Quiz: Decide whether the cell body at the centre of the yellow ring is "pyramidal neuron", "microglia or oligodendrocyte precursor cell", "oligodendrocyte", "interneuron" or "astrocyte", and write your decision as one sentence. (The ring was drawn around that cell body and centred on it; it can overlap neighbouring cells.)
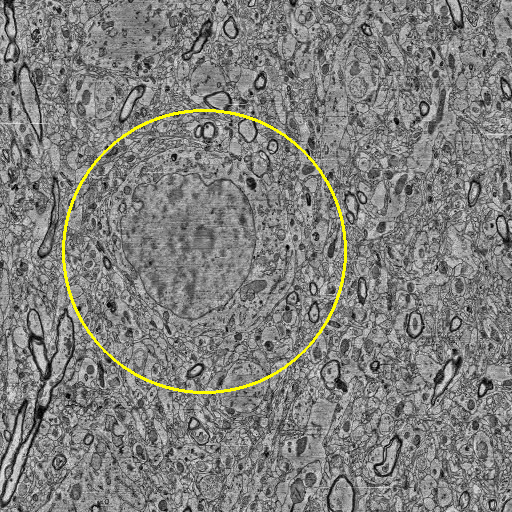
The cell the ring is centred on is an interneuron.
